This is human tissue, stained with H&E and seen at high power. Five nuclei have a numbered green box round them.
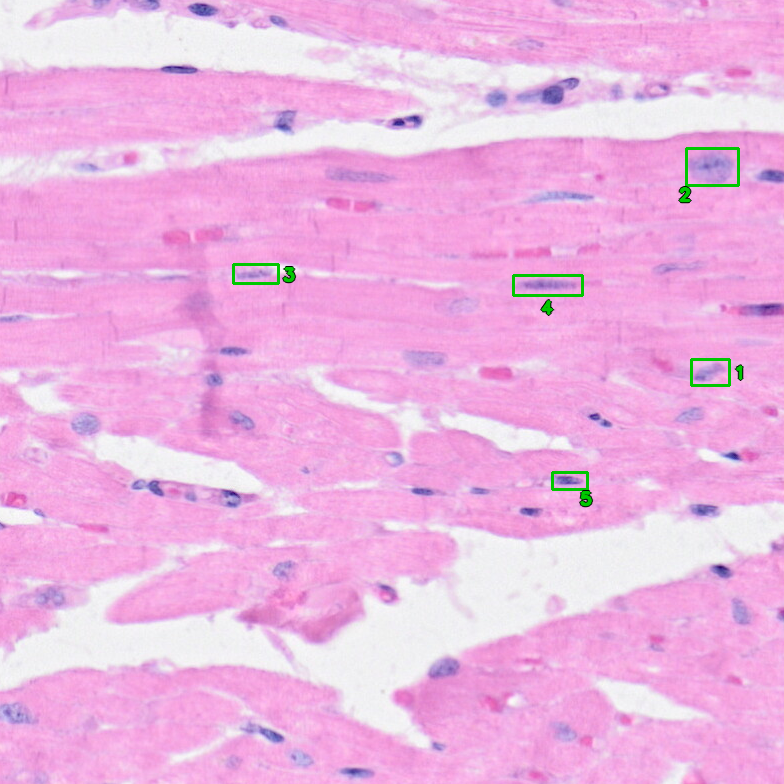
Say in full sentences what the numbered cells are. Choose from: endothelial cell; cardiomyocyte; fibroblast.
Cell 1 is an endothelial cell, cell 2 is a cardiomyocyte, cell 3 is a fibroblast, cell 4 is an endothelial cell and cell 5 is an endothelial cell.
